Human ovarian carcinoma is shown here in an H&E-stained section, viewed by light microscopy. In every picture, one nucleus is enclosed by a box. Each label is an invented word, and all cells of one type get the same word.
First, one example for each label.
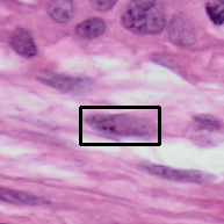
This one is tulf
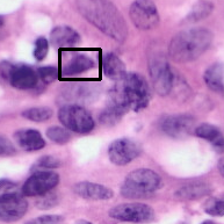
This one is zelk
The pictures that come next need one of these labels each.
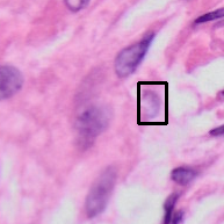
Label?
tulf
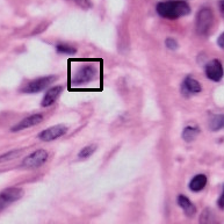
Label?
tulf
